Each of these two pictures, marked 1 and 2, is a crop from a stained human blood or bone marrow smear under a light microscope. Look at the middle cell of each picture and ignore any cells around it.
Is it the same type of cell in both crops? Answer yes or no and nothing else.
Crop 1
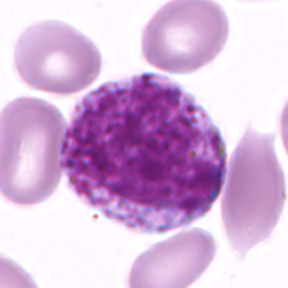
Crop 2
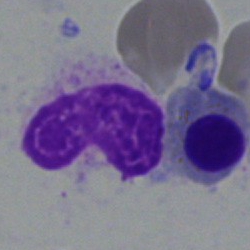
yes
